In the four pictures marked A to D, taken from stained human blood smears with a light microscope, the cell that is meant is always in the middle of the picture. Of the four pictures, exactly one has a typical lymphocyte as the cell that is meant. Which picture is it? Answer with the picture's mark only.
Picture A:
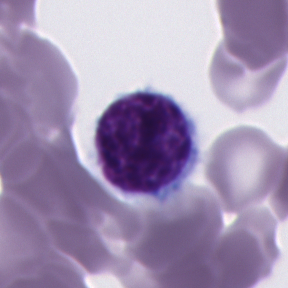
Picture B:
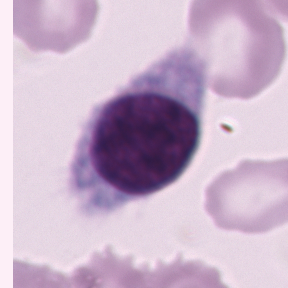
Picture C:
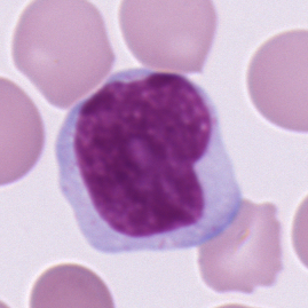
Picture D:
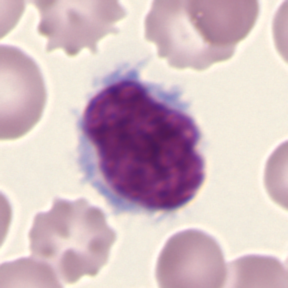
C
